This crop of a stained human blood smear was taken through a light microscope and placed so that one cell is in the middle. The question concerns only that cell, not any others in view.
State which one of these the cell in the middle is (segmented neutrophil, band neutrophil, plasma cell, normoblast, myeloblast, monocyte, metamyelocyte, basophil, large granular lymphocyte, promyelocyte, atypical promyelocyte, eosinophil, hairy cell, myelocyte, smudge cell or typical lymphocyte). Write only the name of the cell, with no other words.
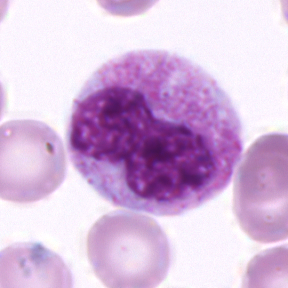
band neutrophil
